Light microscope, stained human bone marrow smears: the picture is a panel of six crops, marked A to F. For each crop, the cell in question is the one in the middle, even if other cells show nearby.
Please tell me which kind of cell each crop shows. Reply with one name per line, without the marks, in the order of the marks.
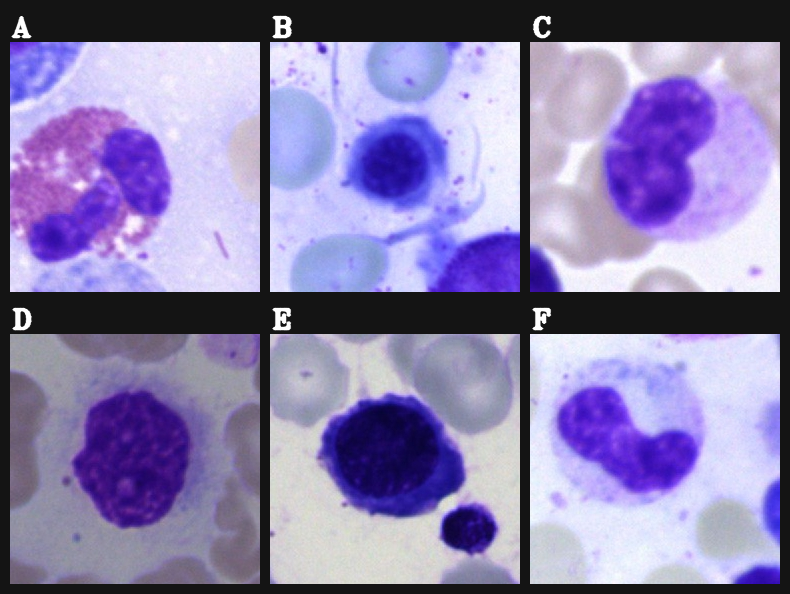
eosinophil
normoblast
metamyelocyte
hairy cell
normoblast
band neutrophil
